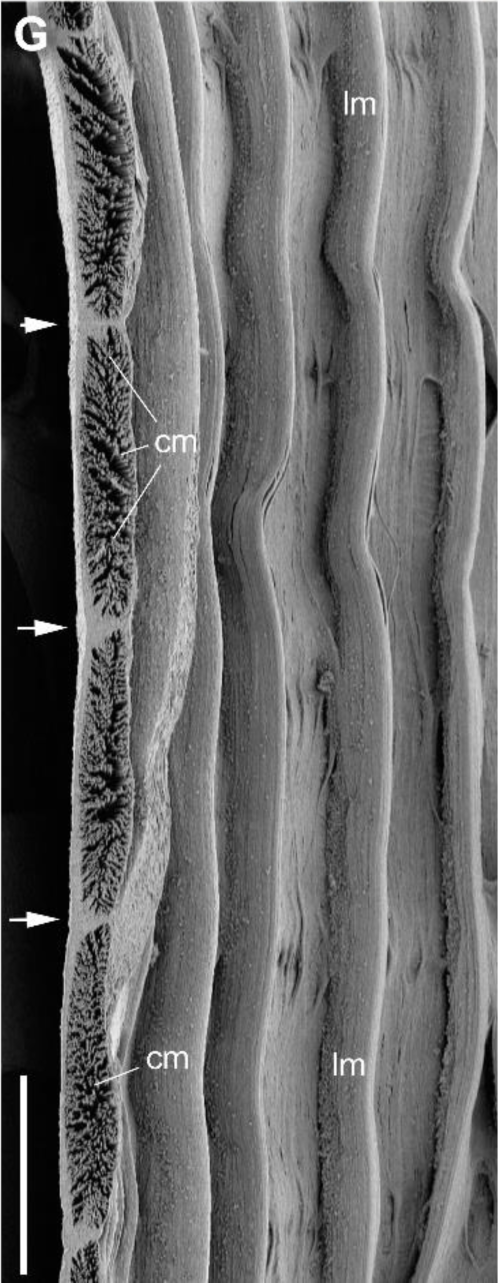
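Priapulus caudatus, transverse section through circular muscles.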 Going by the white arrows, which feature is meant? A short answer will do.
Annulation boundaries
